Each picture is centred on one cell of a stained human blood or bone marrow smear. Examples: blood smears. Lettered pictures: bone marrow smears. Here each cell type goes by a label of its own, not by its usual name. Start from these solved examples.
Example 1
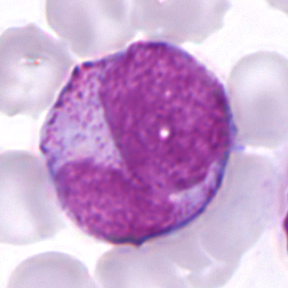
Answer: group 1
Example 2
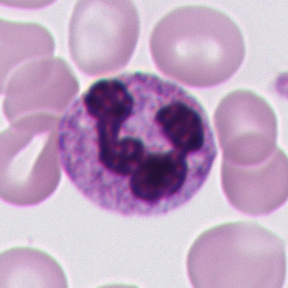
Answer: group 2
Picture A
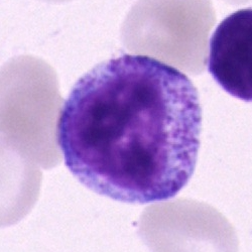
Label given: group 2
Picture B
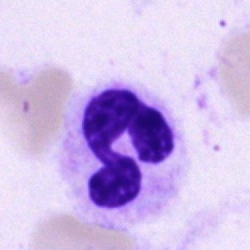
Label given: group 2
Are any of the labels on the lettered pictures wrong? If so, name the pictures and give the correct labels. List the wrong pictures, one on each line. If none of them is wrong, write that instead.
A: change group 2 to group 1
